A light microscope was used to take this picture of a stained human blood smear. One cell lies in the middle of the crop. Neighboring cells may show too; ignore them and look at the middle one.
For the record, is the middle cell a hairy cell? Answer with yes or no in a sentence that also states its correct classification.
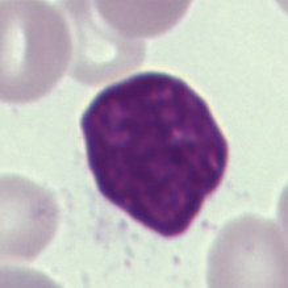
No, the centred cell is a smudge cell, and it is not a hairy cell.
